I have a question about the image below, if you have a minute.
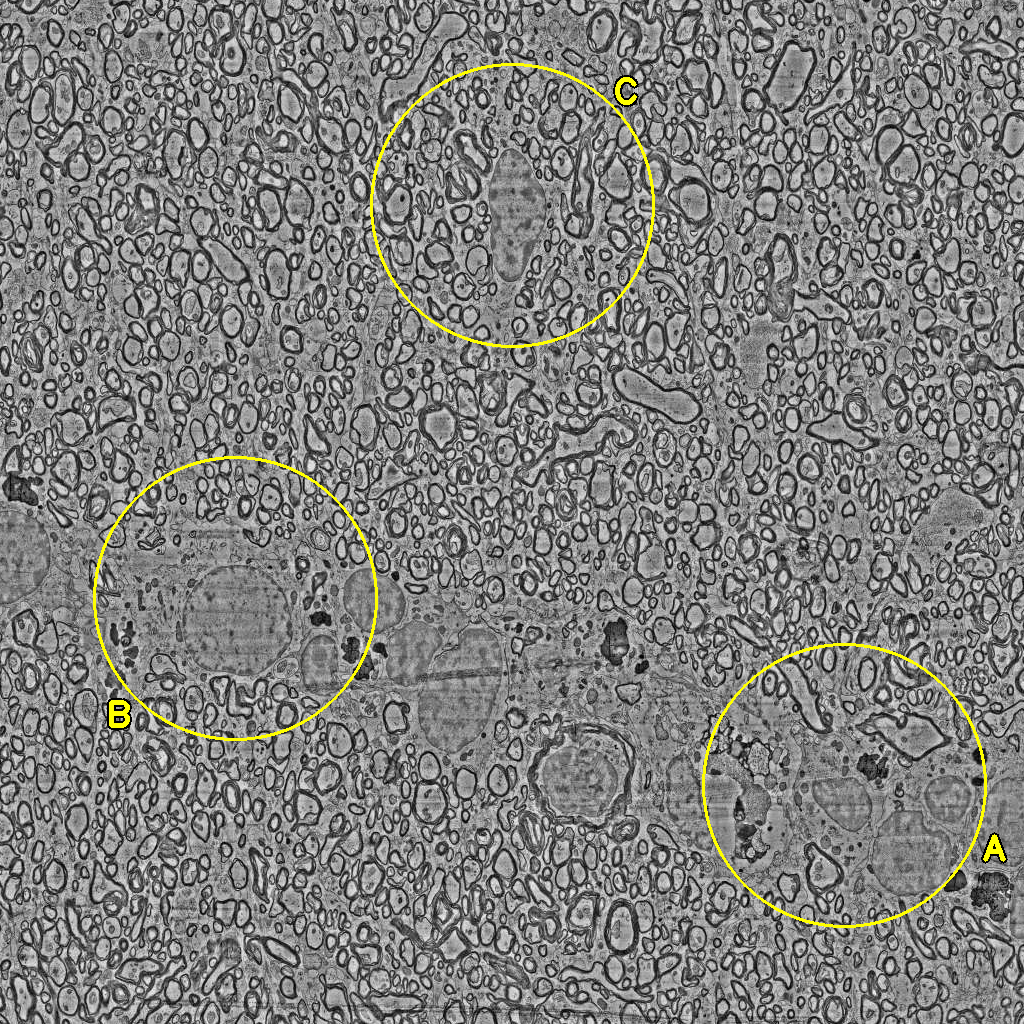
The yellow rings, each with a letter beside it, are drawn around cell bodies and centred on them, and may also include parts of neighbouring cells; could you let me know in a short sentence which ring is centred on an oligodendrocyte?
Ring A is centred on it.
